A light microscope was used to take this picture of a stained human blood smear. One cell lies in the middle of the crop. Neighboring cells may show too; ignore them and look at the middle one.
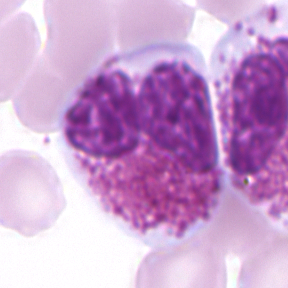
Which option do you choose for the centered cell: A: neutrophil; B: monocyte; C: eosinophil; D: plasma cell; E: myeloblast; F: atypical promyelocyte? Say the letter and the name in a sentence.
In the middle of the crop is an eosinophil; option C is therefore correct.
